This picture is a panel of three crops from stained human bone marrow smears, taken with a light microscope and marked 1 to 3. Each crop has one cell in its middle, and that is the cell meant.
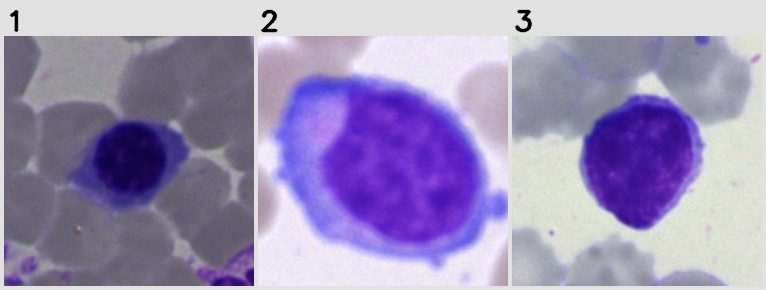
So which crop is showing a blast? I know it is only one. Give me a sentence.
Among the crops provided, a blast occupies the center of crop 2.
